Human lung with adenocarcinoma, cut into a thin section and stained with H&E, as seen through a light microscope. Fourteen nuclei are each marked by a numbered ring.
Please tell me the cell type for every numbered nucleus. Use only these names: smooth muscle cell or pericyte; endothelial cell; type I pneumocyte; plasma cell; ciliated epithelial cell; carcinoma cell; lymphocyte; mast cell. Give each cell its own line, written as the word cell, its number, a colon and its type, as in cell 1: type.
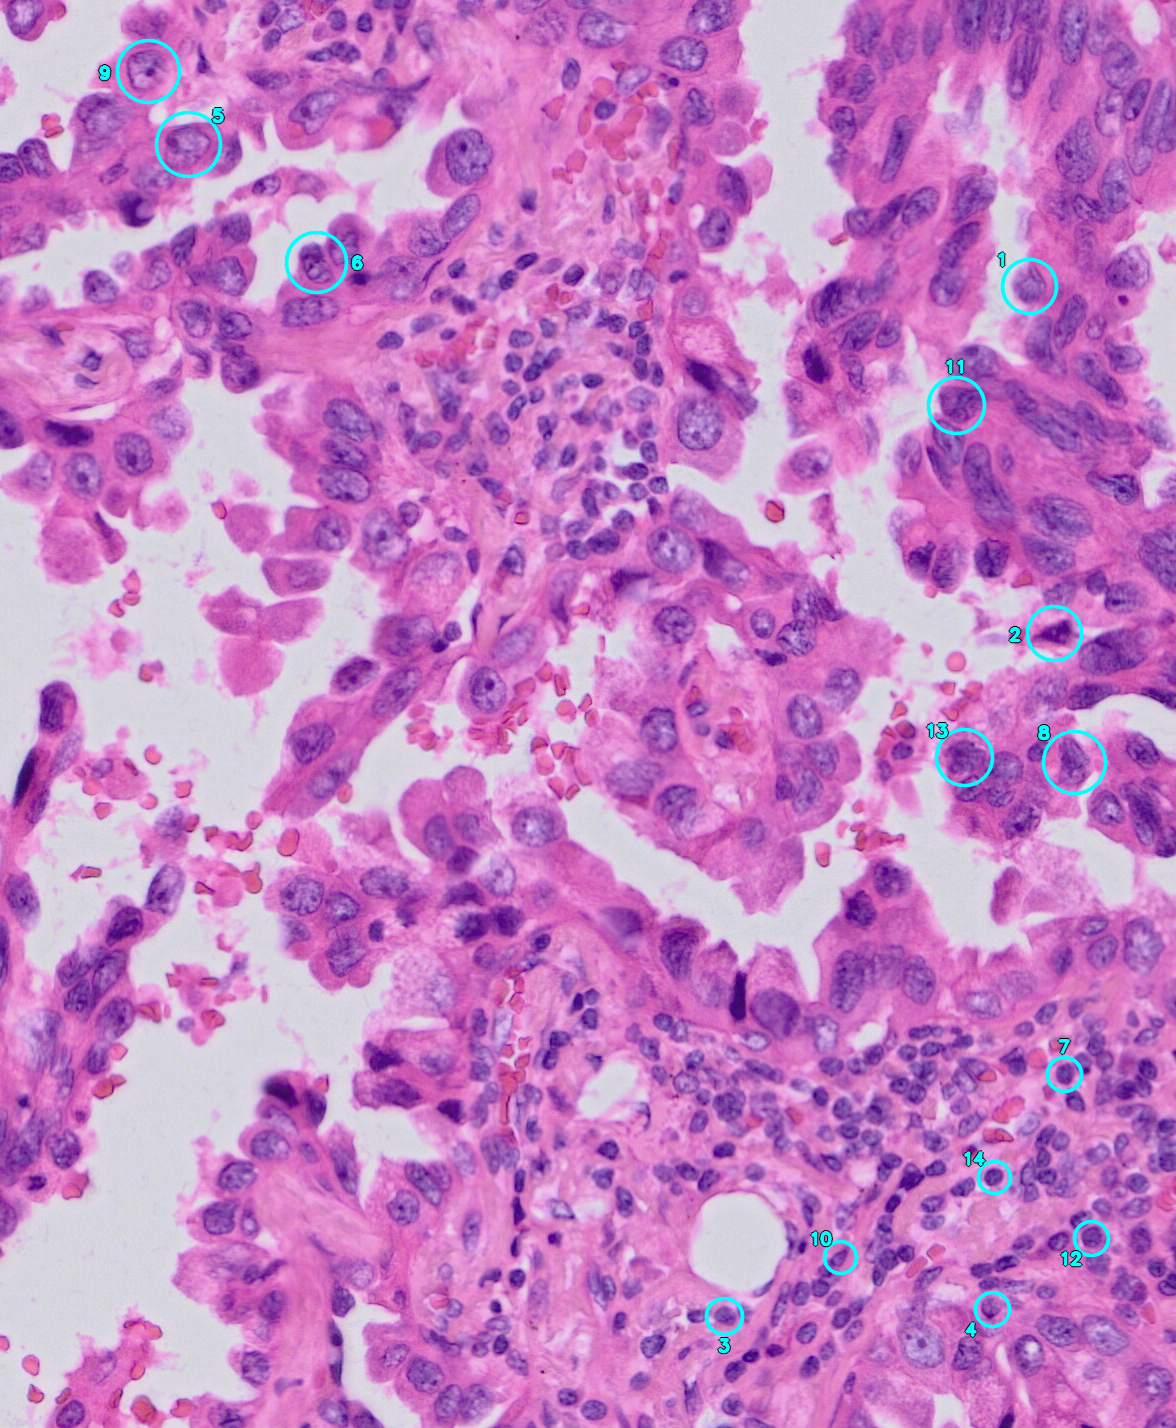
cell 1: carcinoma cell
cell 2: carcinoma cell
cell 3: lymphocyte
cell 4: lymphocyte
cell 5: carcinoma cell
cell 6: carcinoma cell
cell 7: lymphocyte
cell 8: carcinoma cell
cell 9: carcinoma cell
cell 10: lymphocyte
cell 11: carcinoma cell
cell 12: plasma cell
cell 13: carcinoma cell
cell 14: lymphocyte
